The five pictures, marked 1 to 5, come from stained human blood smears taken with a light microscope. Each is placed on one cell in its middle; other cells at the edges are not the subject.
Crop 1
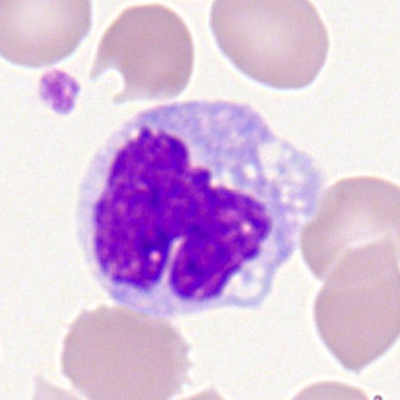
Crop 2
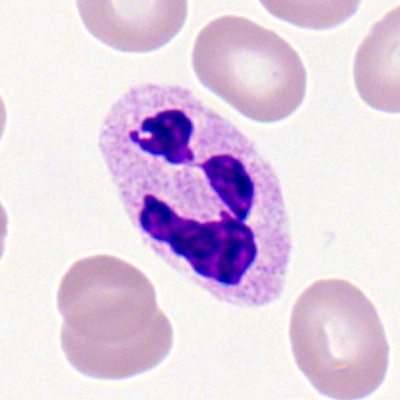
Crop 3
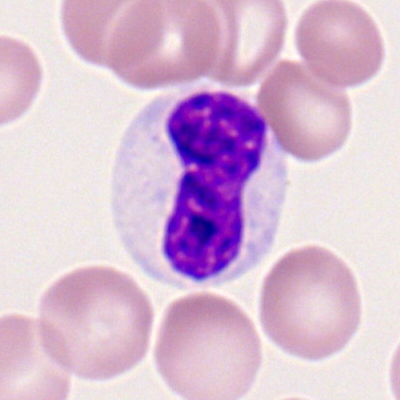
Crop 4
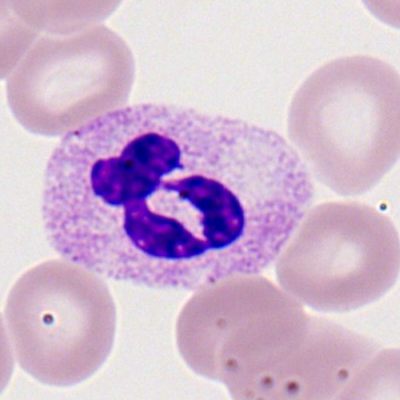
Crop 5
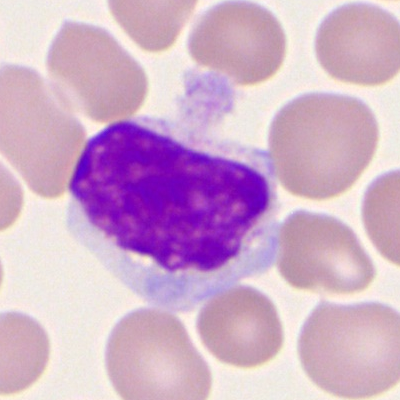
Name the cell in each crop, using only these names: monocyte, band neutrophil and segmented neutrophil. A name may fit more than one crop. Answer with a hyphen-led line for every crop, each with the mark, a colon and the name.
- 1: monocyte
- 2: segmented neutrophil
- 3: band neutrophil
- 4: segmented neutrophil
- 5: monocyte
